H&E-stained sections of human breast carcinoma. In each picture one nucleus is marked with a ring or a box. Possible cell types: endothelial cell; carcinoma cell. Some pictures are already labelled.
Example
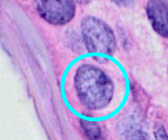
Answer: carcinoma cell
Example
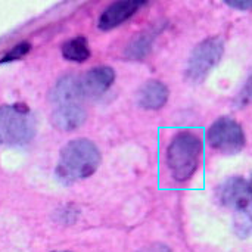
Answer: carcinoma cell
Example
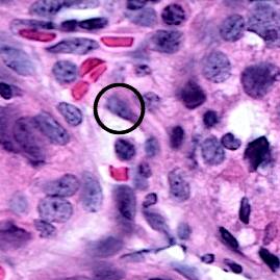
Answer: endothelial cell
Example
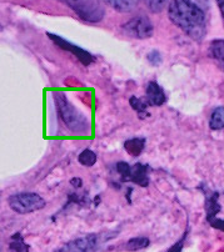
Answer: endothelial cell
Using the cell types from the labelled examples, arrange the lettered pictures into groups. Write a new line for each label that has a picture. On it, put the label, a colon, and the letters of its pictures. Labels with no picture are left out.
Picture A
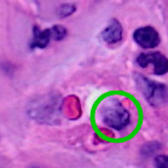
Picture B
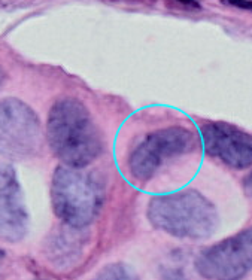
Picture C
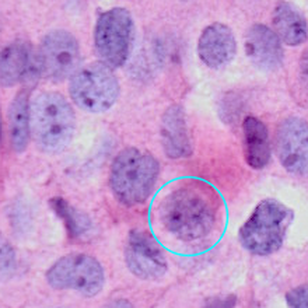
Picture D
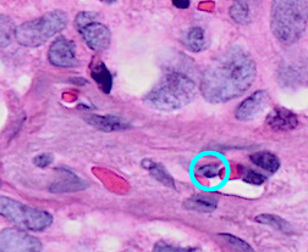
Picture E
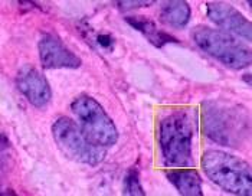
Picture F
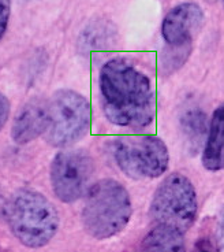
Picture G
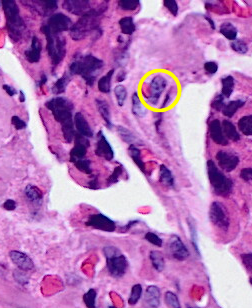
endothelial cell: A, D, G
carcinoma cell: B, C, E, F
